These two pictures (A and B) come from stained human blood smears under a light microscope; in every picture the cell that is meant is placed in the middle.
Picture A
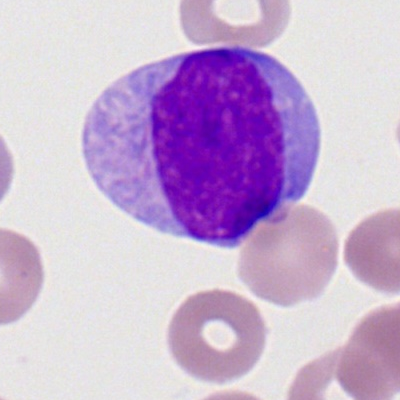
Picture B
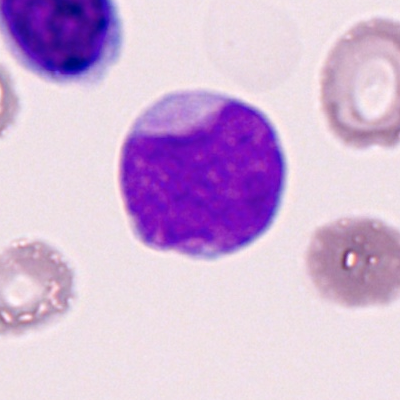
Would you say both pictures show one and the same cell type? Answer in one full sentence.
Yes, the two pictures both show myeloblasts.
